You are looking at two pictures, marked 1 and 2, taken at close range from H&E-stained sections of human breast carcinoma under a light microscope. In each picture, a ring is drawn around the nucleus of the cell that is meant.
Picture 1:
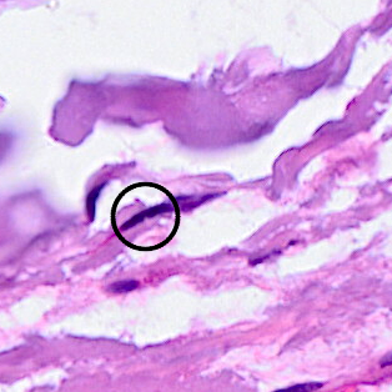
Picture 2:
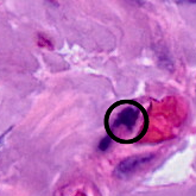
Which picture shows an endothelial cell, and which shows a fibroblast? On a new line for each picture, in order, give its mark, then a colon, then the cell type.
1: fibroblast
2: endothelial cell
